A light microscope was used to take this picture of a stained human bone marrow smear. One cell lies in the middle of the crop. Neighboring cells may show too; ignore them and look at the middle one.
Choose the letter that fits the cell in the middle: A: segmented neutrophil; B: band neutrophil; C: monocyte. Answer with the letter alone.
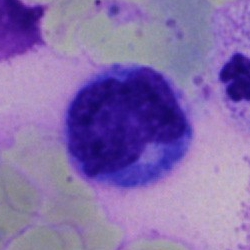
C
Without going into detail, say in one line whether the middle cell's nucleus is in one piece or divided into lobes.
The nucleus is one compact mass, round, oval or kidney-shaped in outline.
